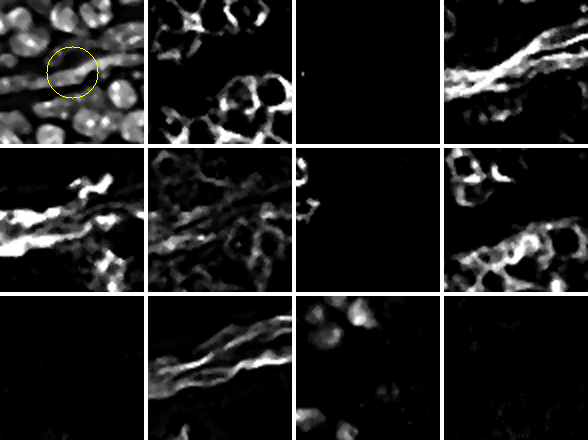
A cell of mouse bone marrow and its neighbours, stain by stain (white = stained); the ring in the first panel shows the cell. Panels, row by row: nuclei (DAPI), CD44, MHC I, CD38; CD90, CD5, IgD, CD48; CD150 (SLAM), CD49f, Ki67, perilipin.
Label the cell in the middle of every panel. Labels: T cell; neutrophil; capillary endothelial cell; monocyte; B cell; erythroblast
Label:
capillary endothelial cell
